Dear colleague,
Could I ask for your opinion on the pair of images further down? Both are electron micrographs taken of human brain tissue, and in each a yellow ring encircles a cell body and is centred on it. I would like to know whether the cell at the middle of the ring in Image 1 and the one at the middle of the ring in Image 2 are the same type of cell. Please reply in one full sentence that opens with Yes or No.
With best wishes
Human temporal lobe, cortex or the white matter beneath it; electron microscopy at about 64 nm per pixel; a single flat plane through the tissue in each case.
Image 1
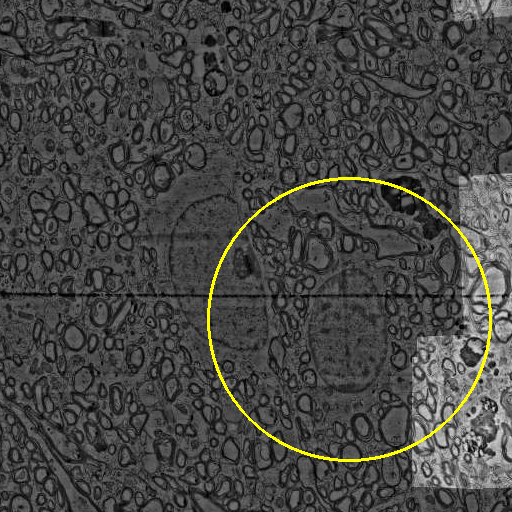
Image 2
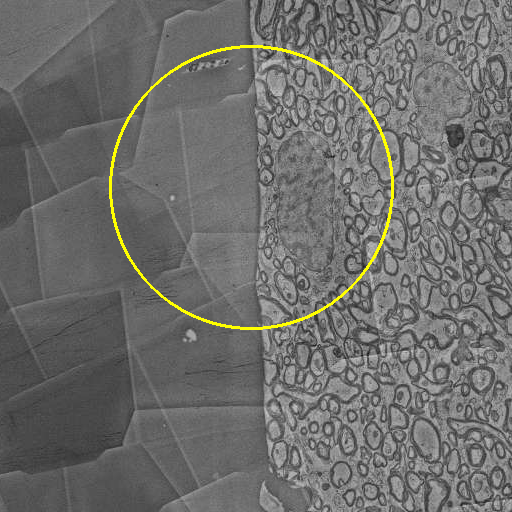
Yes, the cells at the ring centres in Image 1 and Image 2 are of one type.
